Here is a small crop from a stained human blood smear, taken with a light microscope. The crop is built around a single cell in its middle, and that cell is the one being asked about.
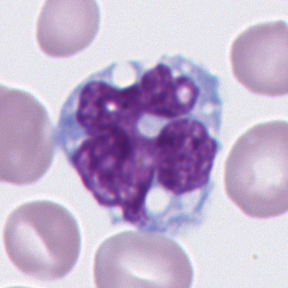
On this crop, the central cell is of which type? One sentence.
The centrally placed cell is classified as a monocyte.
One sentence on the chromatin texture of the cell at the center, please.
Chromatin in the nucleus here is coarsely clumped.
